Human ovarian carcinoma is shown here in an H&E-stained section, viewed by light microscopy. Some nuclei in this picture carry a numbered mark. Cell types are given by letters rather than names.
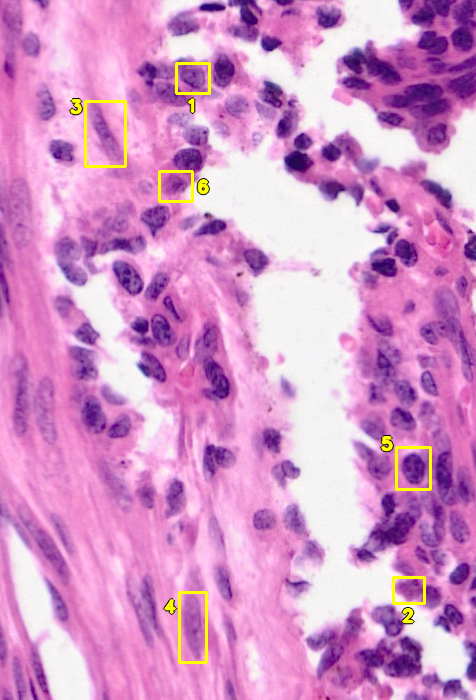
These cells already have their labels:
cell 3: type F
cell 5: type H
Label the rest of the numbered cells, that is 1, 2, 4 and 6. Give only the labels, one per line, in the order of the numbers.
type H
type H
type F
type H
